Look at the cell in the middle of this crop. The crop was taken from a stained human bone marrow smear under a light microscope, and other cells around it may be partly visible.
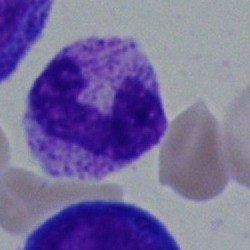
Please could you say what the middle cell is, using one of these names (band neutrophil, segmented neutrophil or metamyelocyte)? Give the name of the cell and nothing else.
band neutrophil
